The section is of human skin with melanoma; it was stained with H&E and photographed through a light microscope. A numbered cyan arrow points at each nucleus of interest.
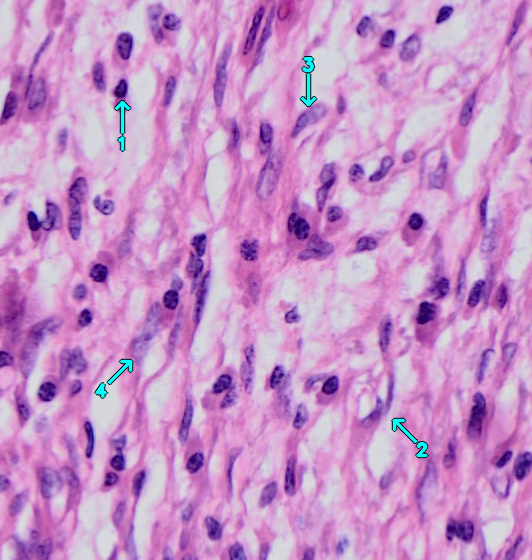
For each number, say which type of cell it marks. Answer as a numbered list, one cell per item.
1. plasma cell
2. fibroblast or myofibroblast
3. macrophage or monocyte
4. fibroblast or myofibroblast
